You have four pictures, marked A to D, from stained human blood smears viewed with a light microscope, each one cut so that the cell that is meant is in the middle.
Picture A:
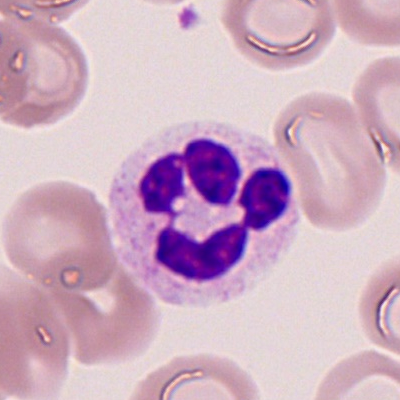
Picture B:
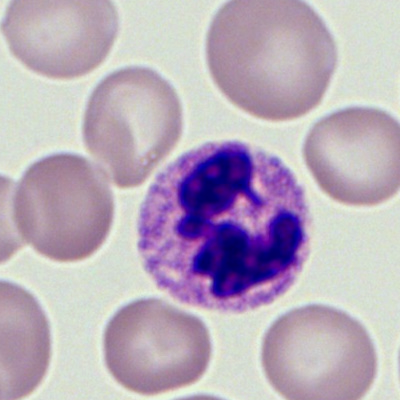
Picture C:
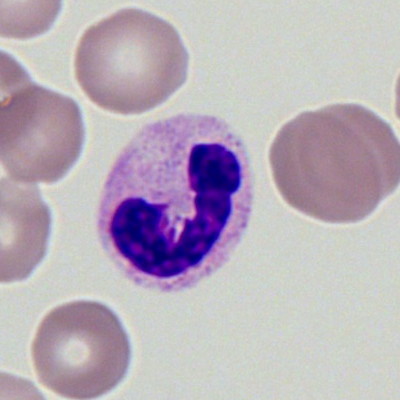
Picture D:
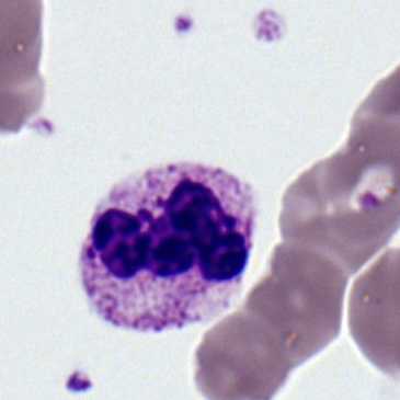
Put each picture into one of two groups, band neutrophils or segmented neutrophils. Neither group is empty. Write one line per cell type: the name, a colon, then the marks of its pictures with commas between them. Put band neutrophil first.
band neutrophil: C
segmented neutrophil: A, B, D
